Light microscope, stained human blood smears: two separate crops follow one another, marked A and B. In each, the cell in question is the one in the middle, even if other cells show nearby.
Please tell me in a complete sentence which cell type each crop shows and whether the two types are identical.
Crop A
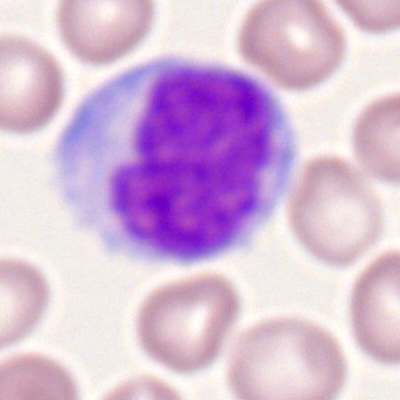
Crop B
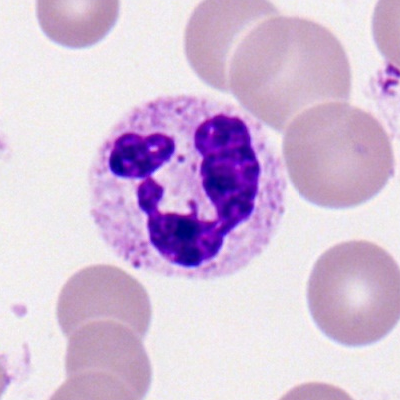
No, crop A is to be identified as a monocyte and crop B as a neutrophil.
